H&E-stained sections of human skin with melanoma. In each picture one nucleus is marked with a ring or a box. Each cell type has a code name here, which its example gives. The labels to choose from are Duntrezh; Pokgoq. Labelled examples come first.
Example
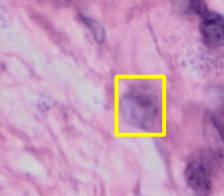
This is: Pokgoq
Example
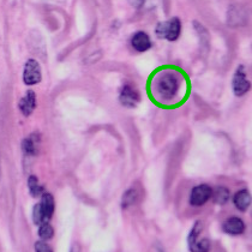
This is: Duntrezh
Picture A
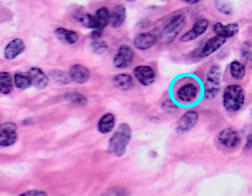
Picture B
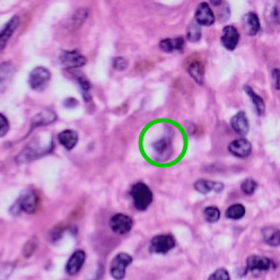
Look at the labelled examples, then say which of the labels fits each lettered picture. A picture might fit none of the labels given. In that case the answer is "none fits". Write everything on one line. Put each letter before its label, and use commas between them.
A Duntrezh, B Pokgoq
